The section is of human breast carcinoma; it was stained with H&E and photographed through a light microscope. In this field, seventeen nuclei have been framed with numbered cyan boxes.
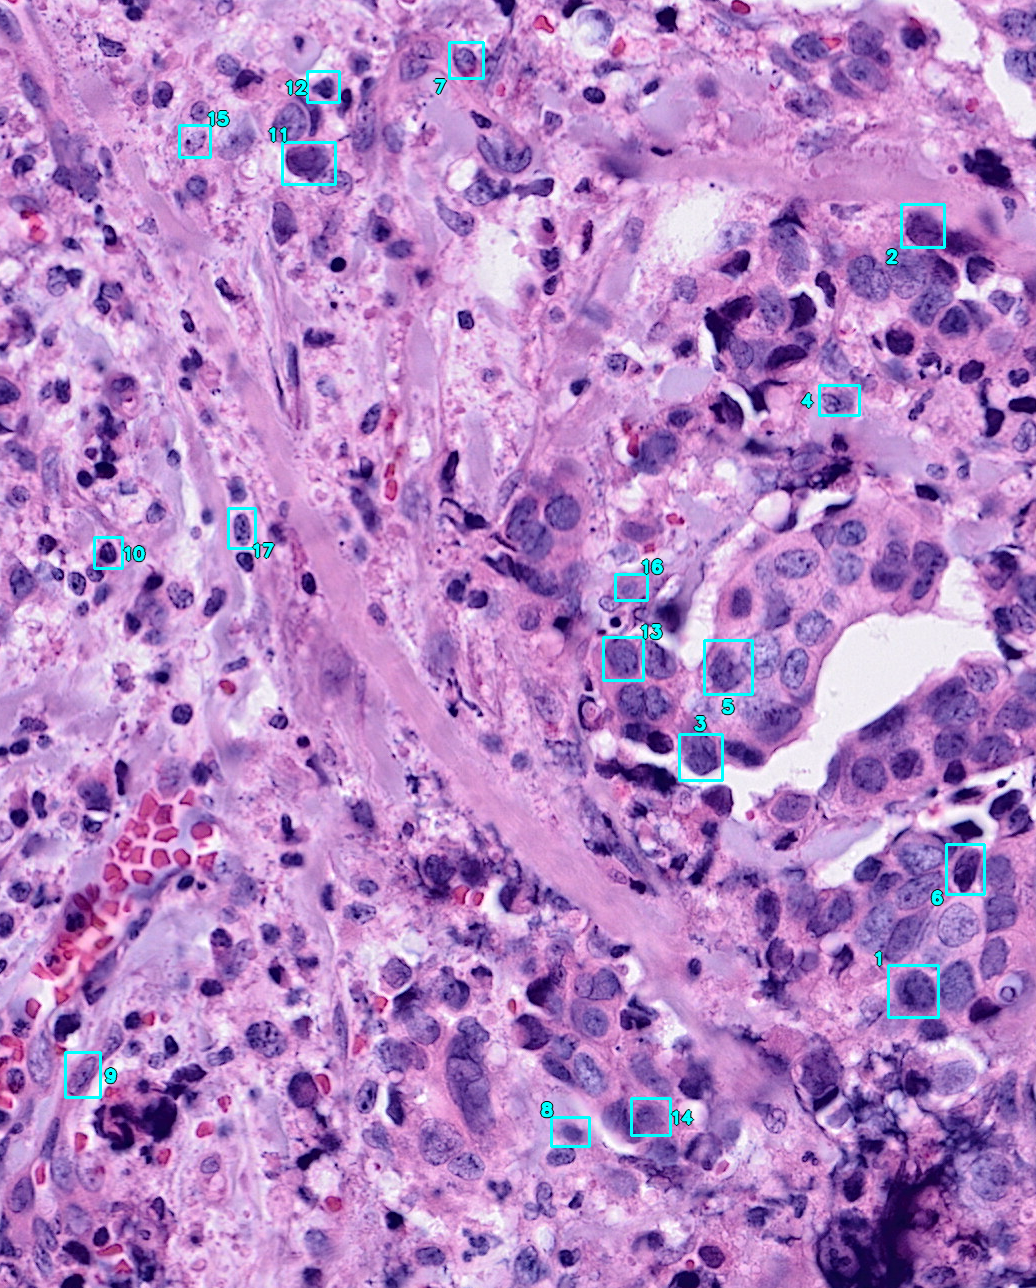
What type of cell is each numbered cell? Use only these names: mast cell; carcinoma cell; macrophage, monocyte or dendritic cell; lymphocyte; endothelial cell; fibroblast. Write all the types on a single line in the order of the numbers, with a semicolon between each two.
carcinoma cell; carcinoma cell; carcinoma cell; macrophage, monocyte or dendritic cell; carcinoma cell; carcinoma cell; endothelial cell; mast cell; endothelial cell; lymphocyte; carcinoma cell; lymphocyte; carcinoma cell; carcinoma cell; macrophage, monocyte or dendritic cell; endothelial cell; mast cell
